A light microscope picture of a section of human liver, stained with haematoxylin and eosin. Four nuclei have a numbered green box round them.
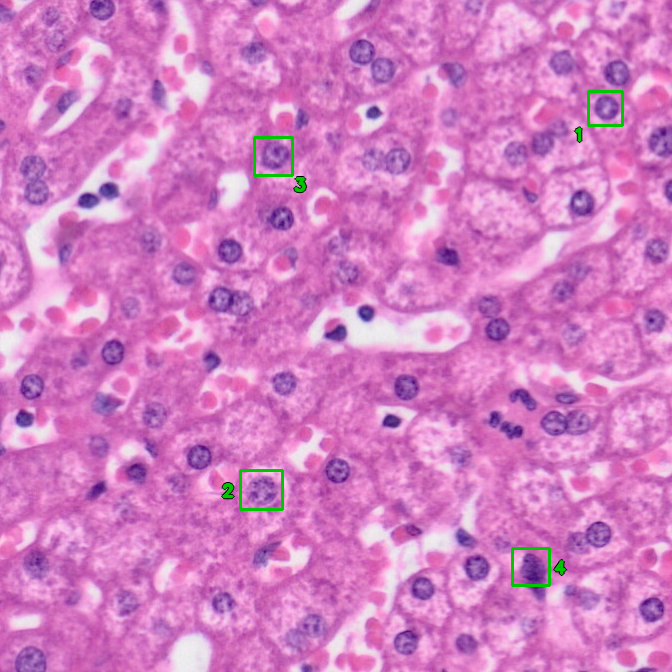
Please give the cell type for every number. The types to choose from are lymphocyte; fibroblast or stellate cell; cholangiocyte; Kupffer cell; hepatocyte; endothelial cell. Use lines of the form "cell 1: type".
cell 1: hepatocyte
cell 2: hepatocyte
cell 3: hepatocyte
cell 4: endothelial cell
